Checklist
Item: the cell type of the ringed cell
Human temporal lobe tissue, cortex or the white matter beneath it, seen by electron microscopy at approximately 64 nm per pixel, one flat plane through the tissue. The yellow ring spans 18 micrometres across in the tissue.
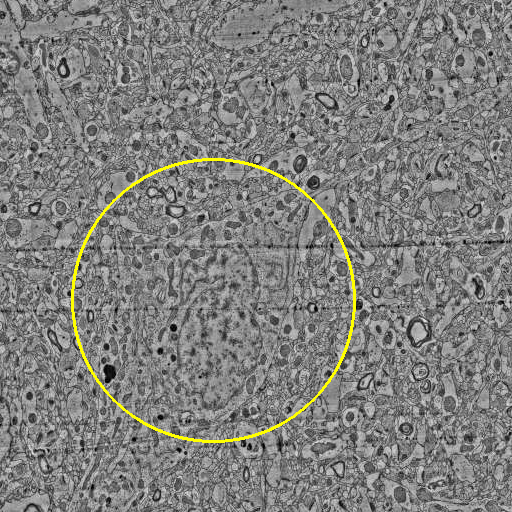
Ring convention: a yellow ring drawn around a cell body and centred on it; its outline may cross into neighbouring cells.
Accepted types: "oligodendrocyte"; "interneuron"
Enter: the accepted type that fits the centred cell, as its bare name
interneuron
